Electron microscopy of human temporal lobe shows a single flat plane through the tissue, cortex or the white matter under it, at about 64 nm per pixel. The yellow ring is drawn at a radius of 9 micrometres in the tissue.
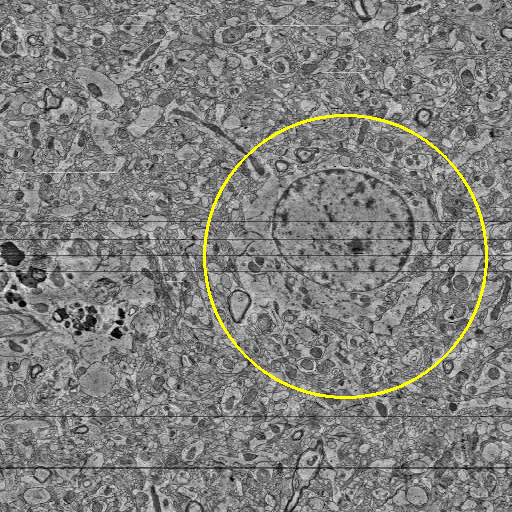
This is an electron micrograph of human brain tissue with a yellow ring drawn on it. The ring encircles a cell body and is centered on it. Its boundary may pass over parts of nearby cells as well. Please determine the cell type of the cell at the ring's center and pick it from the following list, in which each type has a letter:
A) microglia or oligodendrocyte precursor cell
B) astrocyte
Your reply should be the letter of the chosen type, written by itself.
B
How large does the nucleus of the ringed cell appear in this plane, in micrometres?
In this plane, the nucleus of the cell at the centre of the ring is about 8 micrometres across.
